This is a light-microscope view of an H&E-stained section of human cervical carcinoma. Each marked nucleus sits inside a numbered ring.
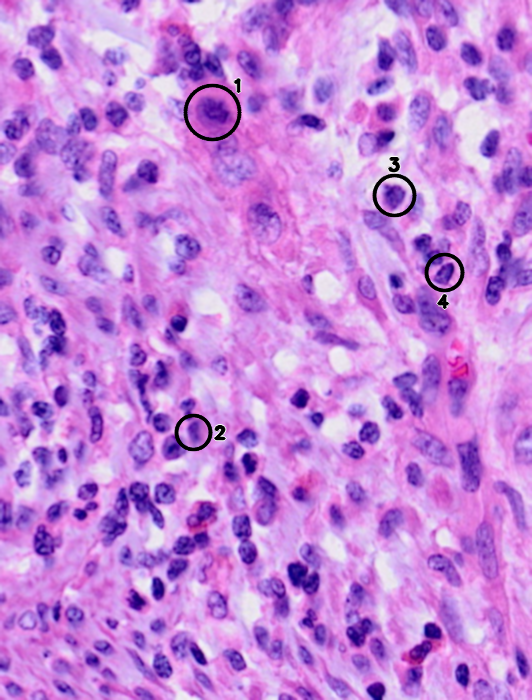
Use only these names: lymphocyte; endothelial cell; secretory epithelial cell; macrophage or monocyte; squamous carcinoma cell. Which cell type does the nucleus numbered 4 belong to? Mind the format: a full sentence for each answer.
Within this field of view, the cell labelled 4 is a lymphocyte.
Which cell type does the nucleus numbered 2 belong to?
The cell identified by the number 2 is a lymphocyte.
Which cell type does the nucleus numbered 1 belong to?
The cell indicated with the number 1 is classed as a squamous carcinoma cell.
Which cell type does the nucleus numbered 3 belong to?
The cell that bears the number 3 is a lymphocyte.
